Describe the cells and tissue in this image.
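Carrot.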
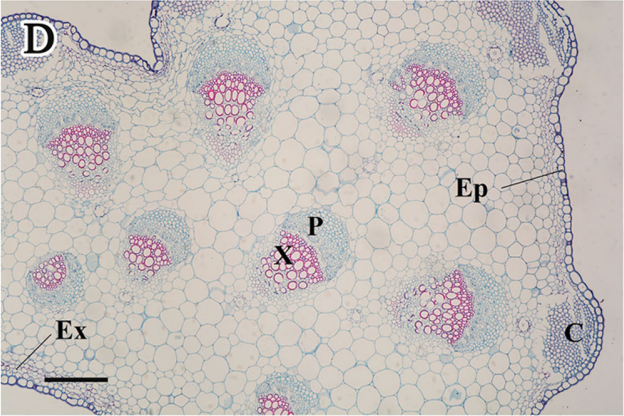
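This is part of a cross-section of a petiole, with vascular bundles set in a ground of parenchyma under a single outer epidermal layer. The parenchyma cells are large, rounded to polygonal and thin-walled, with small spaces between them. The vascular bundles are scattered and of differing size; each has a wedge of xylem whose thick cell walls stain magenta, with wide vessels, and a cap of small, densely packed, blue-stained phloem cells on the side toward the surface. The epidermis is a row of small cells with a dark blue outer wall. Beneath it lie a few layers of smaller cells, and at a ridge sits a compact group of thick-walled collenchyma cells.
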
